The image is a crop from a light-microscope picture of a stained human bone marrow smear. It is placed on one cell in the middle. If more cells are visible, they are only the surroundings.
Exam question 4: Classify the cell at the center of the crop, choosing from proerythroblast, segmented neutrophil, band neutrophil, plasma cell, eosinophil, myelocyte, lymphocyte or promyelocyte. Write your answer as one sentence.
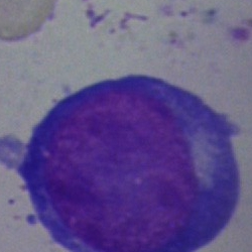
On this slide crop, the central cell is a proerythroblast.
